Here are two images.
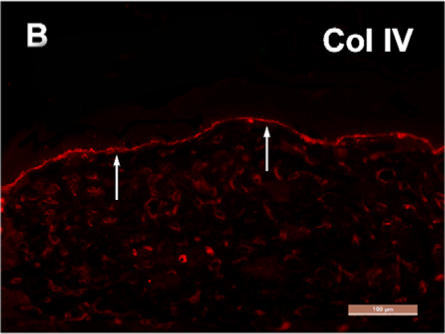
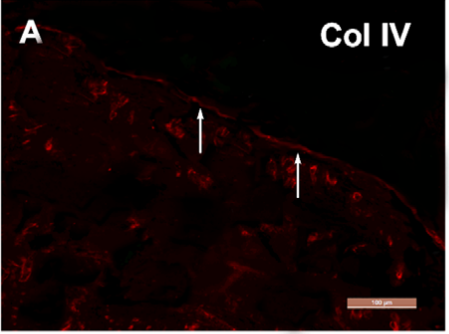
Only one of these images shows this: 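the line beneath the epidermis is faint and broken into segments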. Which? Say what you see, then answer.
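First image: a bright, unbroken red line runs along the junction. Second image: the red line at the junction is faint and patchy.
The second image.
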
